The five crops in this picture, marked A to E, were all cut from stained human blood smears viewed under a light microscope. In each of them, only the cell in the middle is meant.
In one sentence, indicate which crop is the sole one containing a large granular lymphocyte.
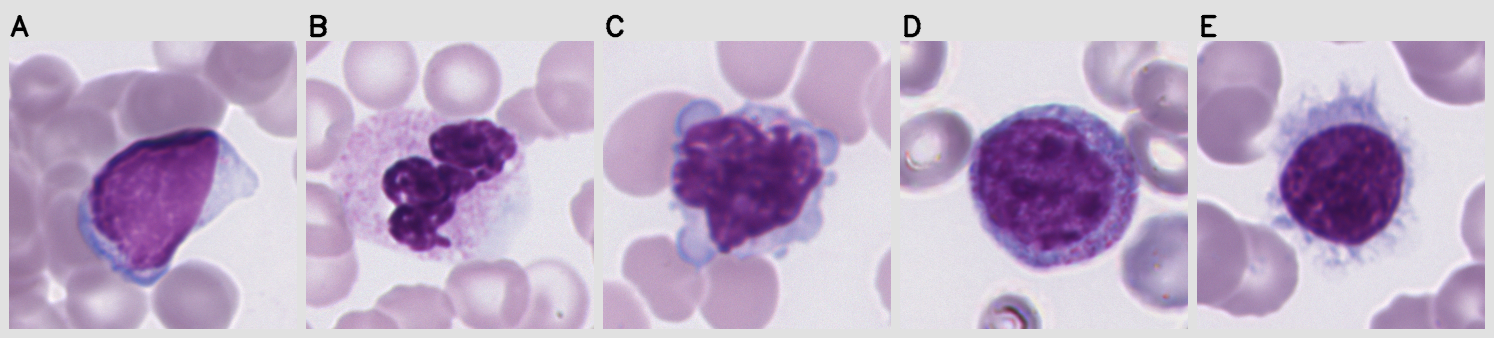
Crop A is the crop that shows a large granular lymphocyte in its middle.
